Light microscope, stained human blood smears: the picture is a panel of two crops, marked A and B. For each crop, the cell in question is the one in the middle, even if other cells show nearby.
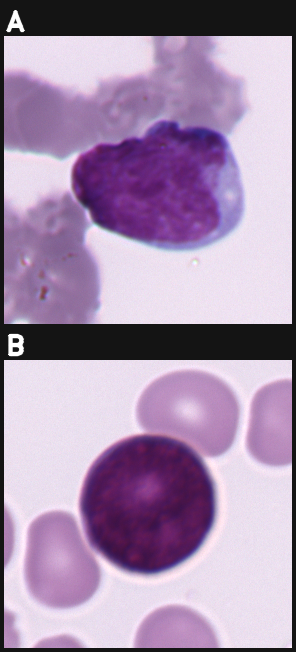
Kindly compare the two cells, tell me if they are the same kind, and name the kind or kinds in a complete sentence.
Yes, myeloblasts are at the centre in both crops.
